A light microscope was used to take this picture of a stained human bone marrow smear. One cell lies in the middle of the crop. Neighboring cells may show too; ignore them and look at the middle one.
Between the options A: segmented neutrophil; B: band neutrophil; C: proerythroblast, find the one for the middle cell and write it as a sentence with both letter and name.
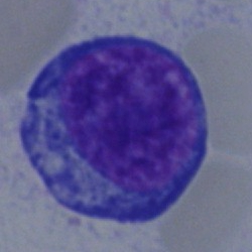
The cell shown centrally is a proerythroblast; option C is the correct option.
